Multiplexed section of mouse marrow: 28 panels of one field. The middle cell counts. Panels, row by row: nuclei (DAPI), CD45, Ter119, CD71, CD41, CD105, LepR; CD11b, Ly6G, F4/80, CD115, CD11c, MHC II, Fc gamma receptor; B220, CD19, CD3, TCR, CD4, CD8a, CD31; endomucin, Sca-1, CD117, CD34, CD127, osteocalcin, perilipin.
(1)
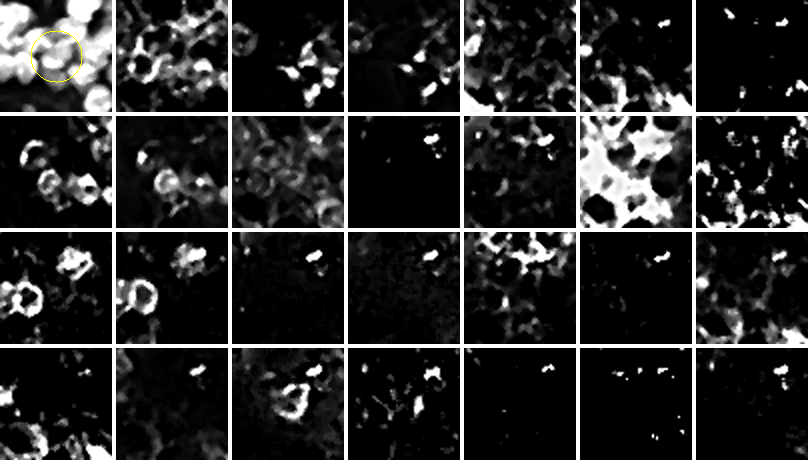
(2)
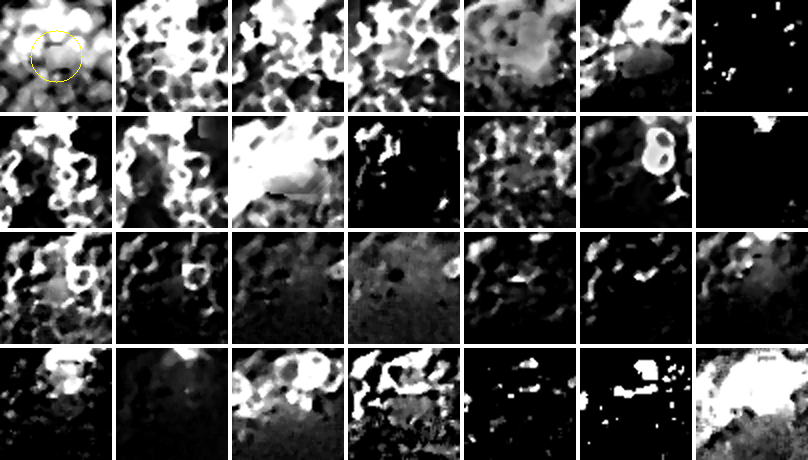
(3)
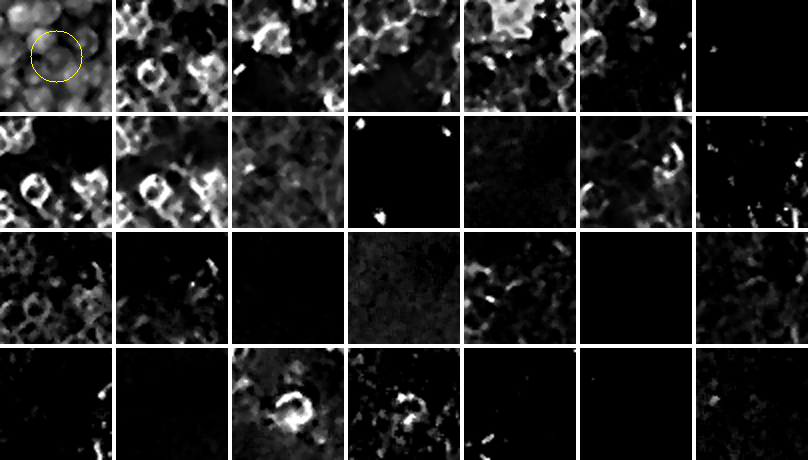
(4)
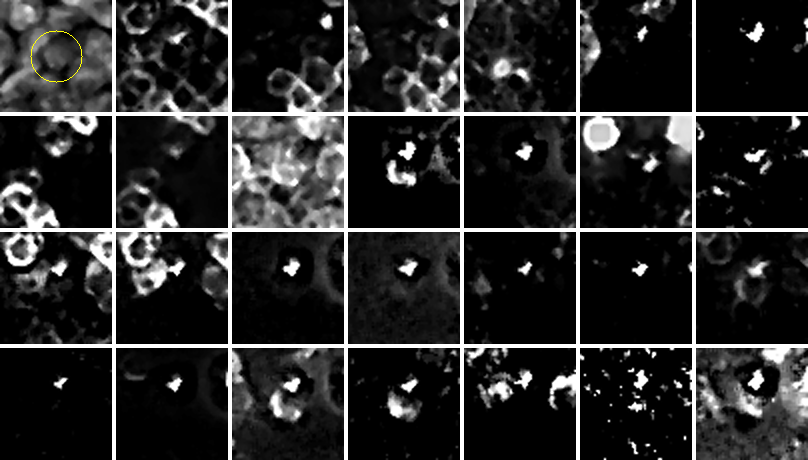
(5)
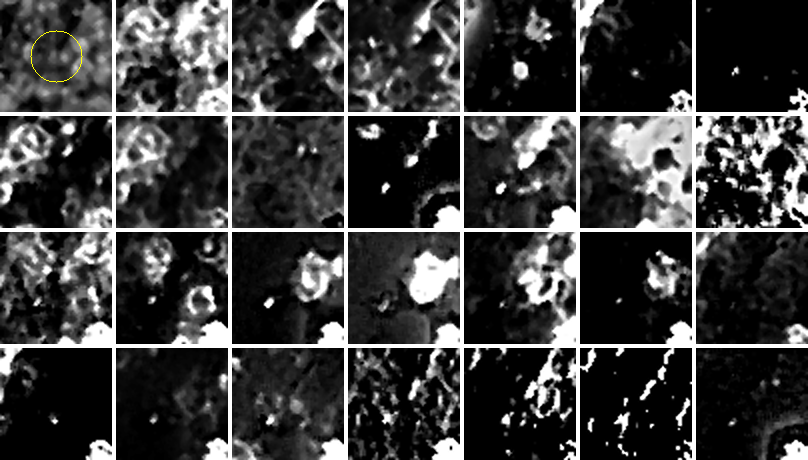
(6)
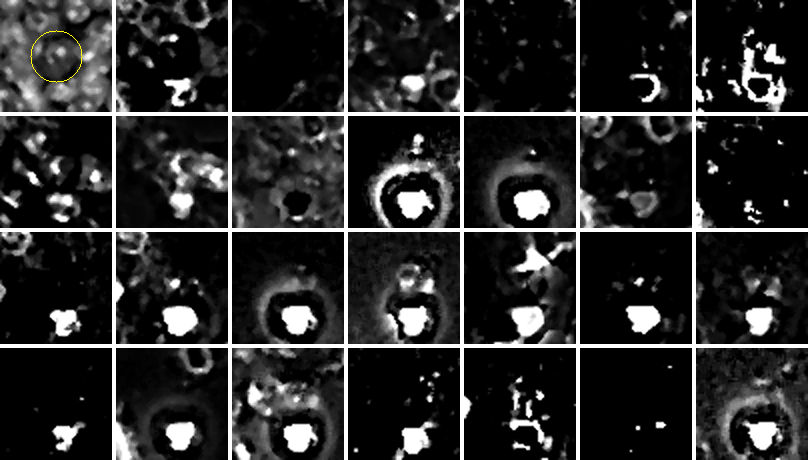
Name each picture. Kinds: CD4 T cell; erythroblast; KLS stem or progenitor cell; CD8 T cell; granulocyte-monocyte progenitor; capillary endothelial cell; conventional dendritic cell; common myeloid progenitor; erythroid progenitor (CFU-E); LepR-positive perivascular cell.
1: erythroid progenitor (CFU-E)
2: conventional dendritic cell
3: common myeloid progenitor
4: KLS stem or progenitor cell
5: erythroid progenitor (CFU-E)
6: LepR-positive perivascular cell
